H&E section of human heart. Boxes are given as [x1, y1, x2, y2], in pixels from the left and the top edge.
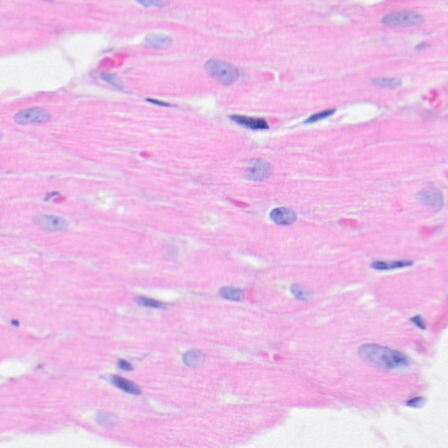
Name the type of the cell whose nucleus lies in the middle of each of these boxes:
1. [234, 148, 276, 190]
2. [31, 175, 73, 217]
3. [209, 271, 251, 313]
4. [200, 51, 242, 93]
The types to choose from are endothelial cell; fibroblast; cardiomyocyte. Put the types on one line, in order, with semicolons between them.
cardiomyocyte; endothelial cell; endothelial cell; cardiomyocyte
